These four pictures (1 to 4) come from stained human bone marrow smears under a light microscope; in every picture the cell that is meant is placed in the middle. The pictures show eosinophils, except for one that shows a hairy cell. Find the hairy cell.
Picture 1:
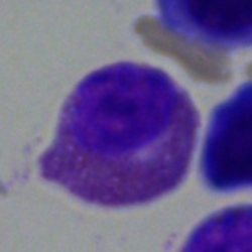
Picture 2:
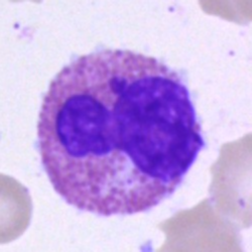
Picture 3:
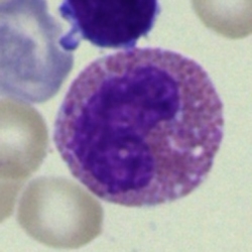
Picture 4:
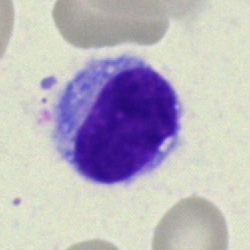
4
